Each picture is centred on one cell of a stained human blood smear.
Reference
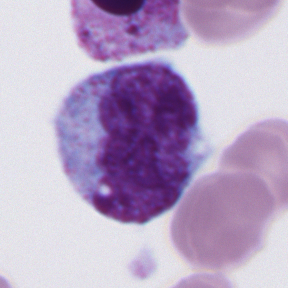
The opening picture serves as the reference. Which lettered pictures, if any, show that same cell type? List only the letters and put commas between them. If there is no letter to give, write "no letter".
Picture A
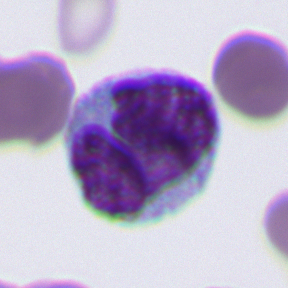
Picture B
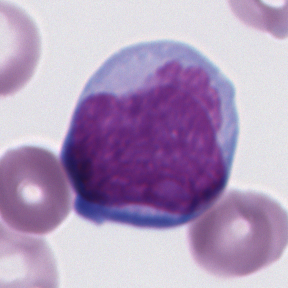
A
